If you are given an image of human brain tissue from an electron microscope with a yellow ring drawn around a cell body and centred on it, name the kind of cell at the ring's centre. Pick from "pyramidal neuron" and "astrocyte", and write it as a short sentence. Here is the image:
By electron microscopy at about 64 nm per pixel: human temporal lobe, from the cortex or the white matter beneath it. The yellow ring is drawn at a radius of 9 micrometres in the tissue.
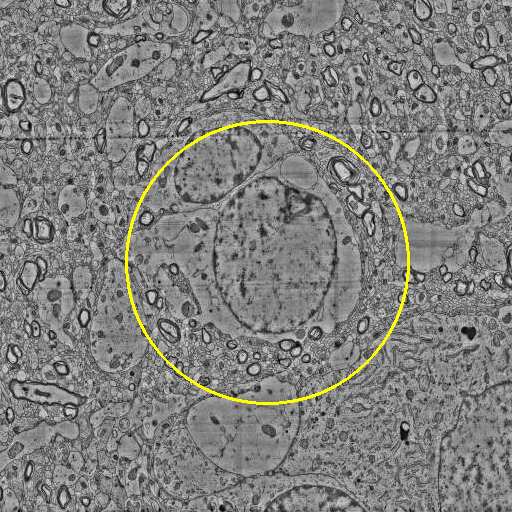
The cell at the ring's centre is an astrocyte.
